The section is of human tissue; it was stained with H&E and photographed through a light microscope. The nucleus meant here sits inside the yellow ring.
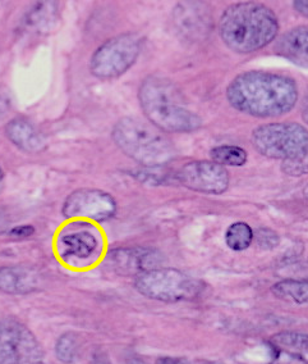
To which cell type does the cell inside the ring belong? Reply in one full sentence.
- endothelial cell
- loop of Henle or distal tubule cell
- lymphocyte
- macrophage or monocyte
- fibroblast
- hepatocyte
By its classification, the cell inside the ring is a macrophage or monocyte.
